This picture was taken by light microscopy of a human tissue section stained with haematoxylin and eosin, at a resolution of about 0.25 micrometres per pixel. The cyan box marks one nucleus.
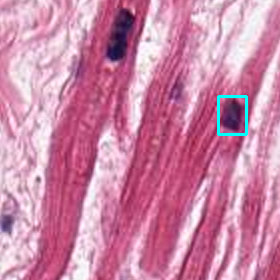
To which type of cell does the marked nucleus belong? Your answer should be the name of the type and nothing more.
cardiomyocyte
